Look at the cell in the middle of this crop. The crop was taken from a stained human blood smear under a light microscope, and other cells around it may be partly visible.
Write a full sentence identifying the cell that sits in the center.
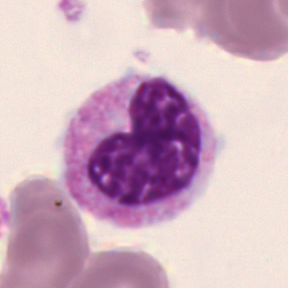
By classification, the middle cell of this crop is a metamyelocyte.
